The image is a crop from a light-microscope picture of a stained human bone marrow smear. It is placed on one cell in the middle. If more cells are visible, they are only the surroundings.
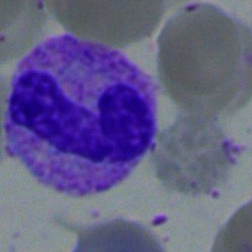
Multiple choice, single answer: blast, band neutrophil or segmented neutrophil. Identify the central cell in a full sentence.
The identification for the central cell is a band neutrophil.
